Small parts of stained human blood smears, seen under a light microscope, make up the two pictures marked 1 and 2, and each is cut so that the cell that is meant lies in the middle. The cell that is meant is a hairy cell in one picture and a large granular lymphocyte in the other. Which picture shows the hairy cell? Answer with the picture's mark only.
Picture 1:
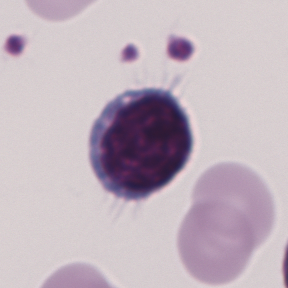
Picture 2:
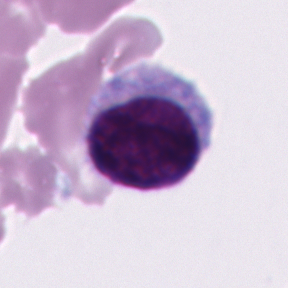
2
